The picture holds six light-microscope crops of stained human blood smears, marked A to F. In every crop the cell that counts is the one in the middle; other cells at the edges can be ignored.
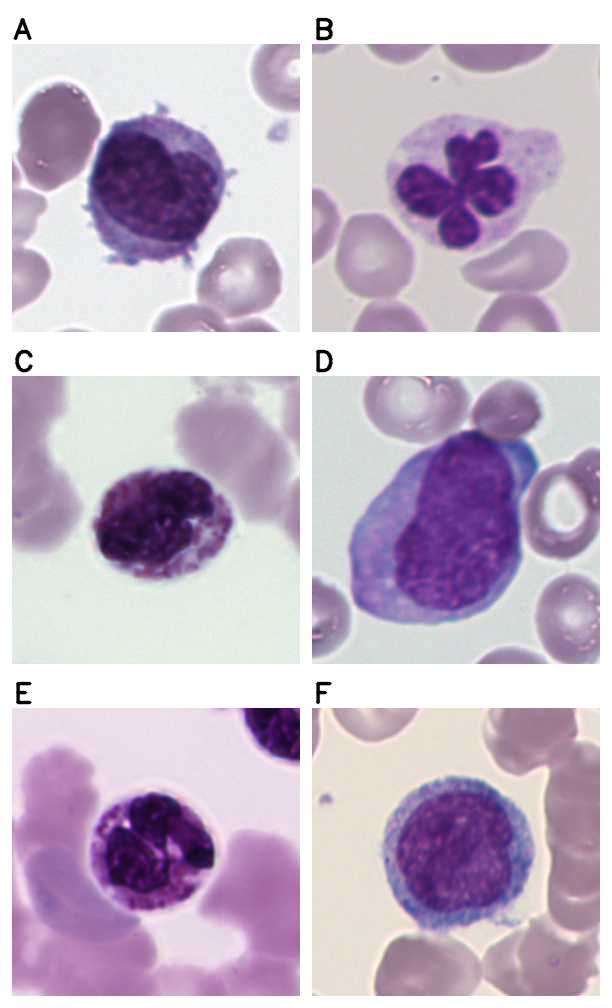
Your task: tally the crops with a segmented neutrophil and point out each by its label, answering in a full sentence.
Crop B alone shows a segmented neutrophil at its centre.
